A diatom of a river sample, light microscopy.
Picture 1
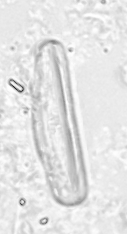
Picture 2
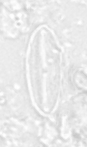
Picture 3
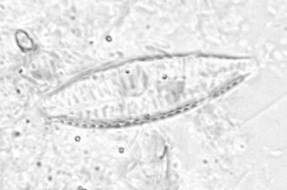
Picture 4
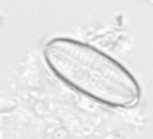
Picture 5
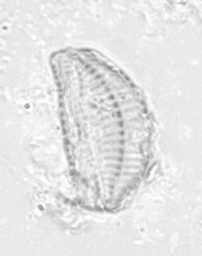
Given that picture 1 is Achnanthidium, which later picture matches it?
4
